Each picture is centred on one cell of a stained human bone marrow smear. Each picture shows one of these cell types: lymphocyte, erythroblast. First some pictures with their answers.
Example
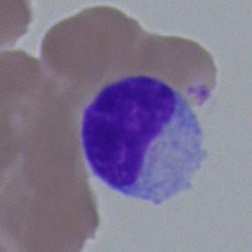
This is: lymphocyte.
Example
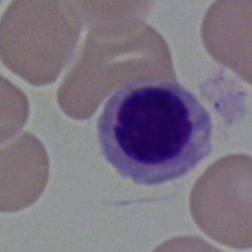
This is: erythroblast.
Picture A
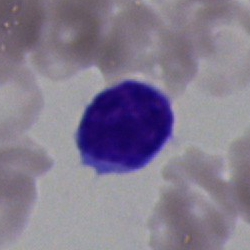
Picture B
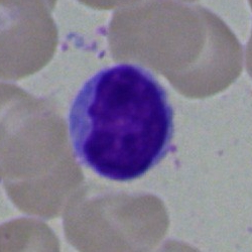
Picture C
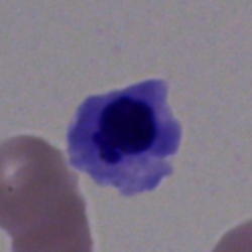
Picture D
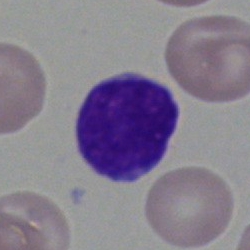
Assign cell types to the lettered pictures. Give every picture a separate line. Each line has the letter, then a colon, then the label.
A: lymphocyte.
B: lymphocyte.
C: erythroblast.
D: lymphocyte.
